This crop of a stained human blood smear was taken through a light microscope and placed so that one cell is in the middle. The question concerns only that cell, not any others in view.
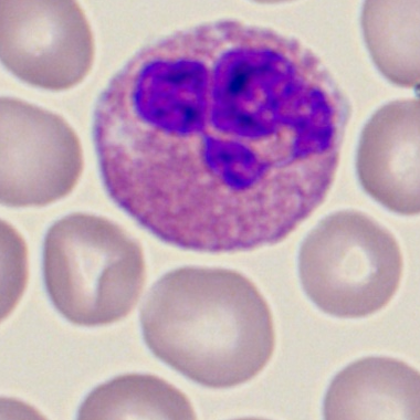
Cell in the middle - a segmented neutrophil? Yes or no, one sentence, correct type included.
No, instead of being a segmented neutrophil, the middle cell is an eosinophil.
